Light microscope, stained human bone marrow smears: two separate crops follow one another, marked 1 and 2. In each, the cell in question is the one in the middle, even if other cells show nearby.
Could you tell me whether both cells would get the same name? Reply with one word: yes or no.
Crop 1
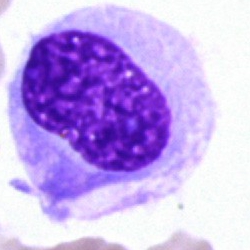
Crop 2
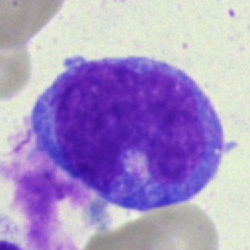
no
